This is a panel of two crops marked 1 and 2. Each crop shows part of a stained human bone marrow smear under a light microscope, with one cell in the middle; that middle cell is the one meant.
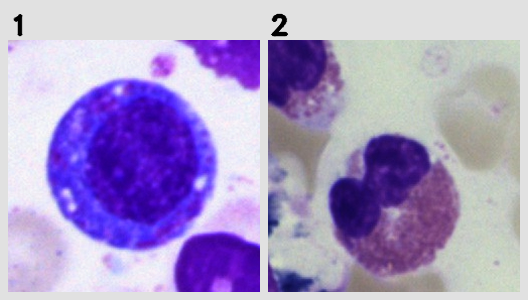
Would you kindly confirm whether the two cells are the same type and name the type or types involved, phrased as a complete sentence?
No, mark crop 1 as a promyelocyte and crop 2 as an eosinophil.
